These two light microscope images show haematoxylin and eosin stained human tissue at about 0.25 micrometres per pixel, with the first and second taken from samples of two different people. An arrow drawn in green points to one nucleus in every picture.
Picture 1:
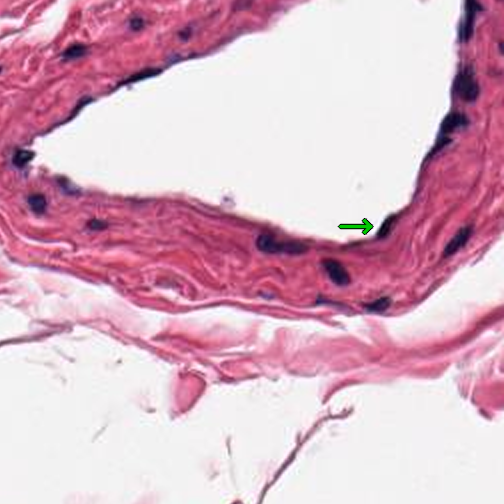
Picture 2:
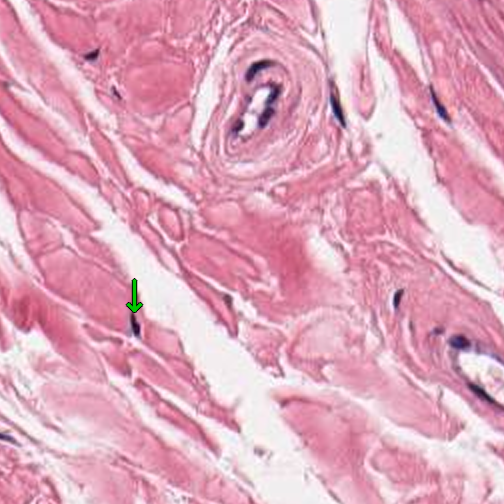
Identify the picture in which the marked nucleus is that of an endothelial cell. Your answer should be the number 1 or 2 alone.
1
